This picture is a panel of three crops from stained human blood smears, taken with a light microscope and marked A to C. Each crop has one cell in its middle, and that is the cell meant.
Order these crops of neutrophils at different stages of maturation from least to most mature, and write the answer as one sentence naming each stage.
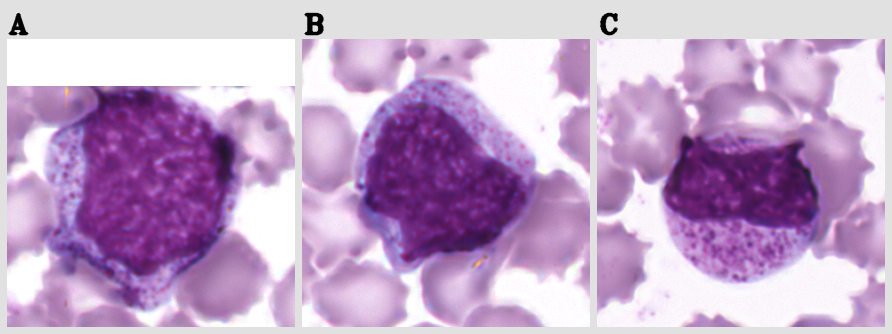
Least mature to most mature, the lineup is crop A (a promyelocyte), crop B (a myelocyte) and crop C (a metamyelocyte).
